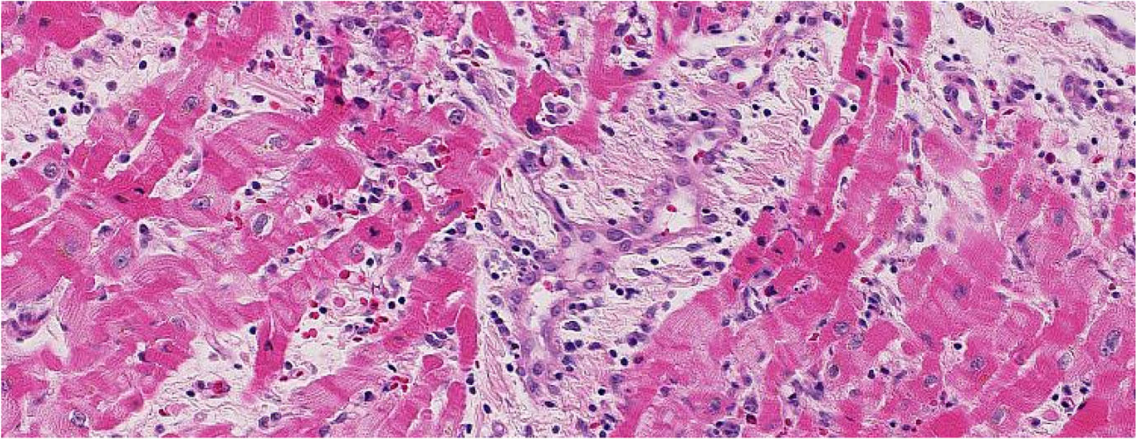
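This is heart muscle in which pink cardiac muscle cells are separated and disorganized by an infiltrate of small inflammatory cells. The muscle fibers have bright pink cytoplasm and large oval central nuclei, but they run in different directions and appear broken up into irregular fragments rather than forming orderly parallel bundles. Between the fibers the interstitium is widened, pale and loosely textured, in keeping with edema. Scattered through these spaces are numerous small cells with round, dark purple nuclei and little cytoplasm, mostly lymphocytes, together with a few red blood cells. No large multinucleated cells are evident.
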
